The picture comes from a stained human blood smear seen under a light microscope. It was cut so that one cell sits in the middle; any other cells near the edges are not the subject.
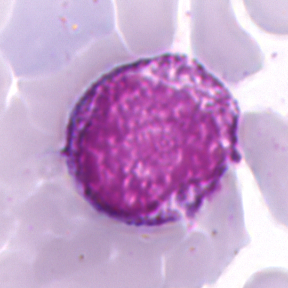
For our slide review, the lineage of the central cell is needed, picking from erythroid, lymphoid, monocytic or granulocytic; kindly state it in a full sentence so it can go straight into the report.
Counted among cells of the granulocytic lineage is the central cell.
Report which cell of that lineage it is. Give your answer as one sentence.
Classification of the middle cell gives a myelocyte.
